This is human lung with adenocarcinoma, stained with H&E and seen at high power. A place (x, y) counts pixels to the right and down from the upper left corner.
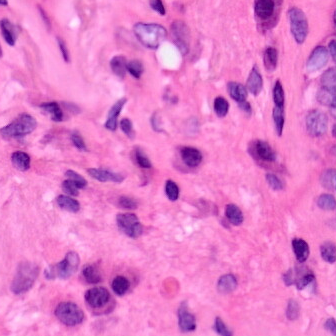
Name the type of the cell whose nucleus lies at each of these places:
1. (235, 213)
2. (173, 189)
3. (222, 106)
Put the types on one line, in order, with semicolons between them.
mast cell; mast cell; lymphocyte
